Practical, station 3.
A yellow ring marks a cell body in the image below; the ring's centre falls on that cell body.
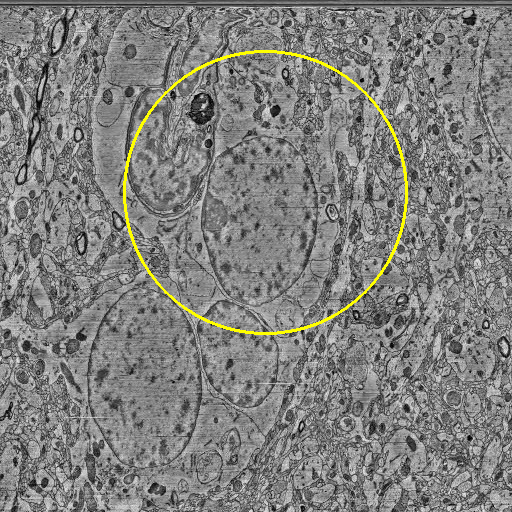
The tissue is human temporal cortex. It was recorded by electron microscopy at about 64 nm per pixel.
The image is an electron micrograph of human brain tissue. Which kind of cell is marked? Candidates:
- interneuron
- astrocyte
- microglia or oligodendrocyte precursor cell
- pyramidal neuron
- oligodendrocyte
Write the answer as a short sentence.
The marked cell body is that of an astrocyte.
